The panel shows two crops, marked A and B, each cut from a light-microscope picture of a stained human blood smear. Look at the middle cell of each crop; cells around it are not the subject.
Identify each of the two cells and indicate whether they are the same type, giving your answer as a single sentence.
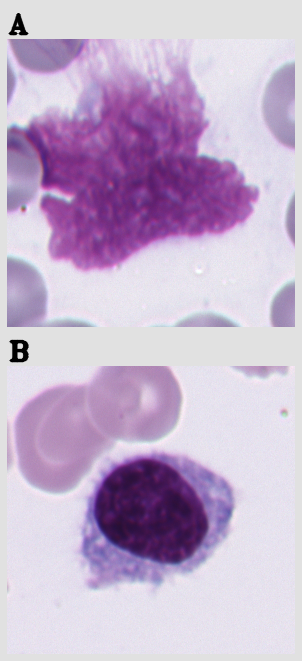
No, crop A contains a smudge cell, whereas crop B contains a hairy cell.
